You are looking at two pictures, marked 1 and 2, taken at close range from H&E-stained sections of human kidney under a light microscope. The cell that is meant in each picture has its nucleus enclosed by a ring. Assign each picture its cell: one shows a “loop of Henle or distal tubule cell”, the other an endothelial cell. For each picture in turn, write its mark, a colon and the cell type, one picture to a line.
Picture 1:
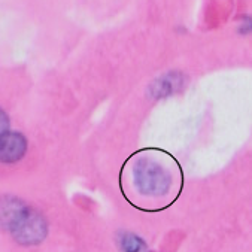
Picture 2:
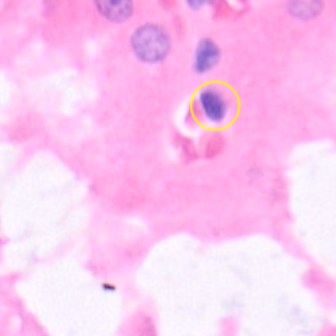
1: loop of Henle or distal tubule cell
2: endothelial cell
